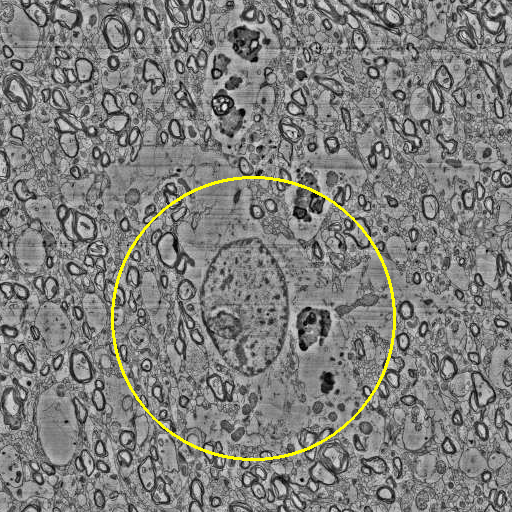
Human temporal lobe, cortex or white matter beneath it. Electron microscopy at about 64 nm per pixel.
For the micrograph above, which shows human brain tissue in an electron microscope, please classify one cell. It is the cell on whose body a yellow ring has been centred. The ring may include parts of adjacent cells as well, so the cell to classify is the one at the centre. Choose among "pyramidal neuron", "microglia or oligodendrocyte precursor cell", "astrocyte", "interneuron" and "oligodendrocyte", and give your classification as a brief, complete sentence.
I classify this cell as an astrocyte.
